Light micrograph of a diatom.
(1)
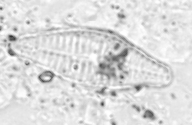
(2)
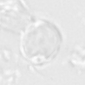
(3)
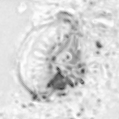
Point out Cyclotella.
That is picture 3.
